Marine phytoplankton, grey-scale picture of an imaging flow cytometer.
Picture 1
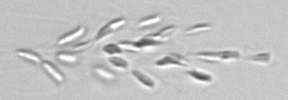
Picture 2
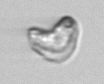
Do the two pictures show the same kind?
No: Dinobryon, then Karenia papilionacea.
